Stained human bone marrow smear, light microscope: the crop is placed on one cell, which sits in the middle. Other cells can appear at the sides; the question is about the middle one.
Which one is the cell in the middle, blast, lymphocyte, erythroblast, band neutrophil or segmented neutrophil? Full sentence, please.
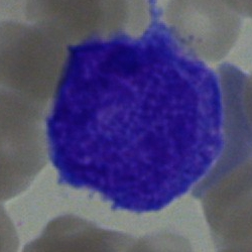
This crop is built around a blast at its centre.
